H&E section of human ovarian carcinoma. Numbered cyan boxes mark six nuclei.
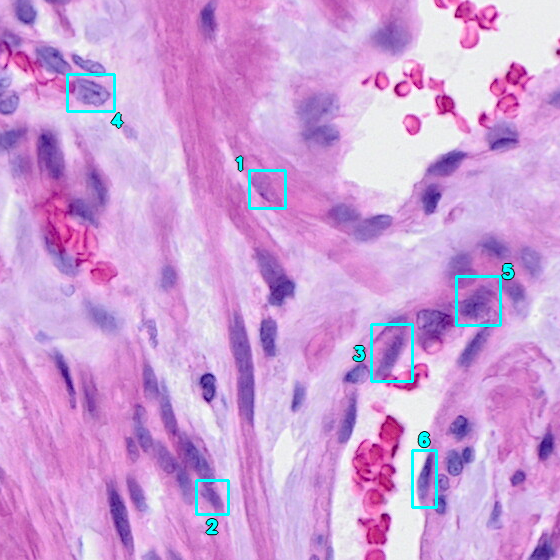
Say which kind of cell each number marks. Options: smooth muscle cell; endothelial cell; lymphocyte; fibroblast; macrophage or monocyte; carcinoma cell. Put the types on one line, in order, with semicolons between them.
smooth muscle cell; smooth muscle cell; endothelial cell; endothelial cell; endothelial cell; endothelial cell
